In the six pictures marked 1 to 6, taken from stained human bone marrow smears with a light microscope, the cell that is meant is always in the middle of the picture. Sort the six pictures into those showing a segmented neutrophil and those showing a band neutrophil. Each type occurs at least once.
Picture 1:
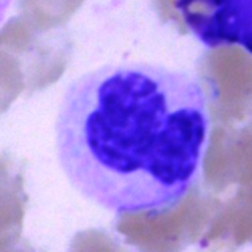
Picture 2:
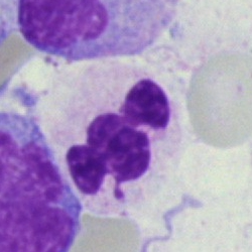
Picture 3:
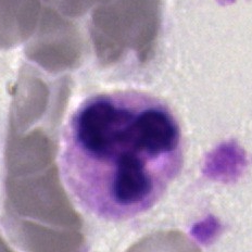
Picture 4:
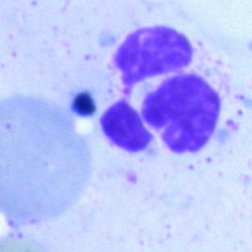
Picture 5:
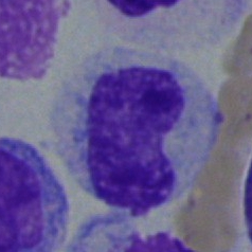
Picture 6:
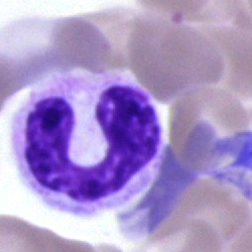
1: segmented neutrophil
2: segmented neutrophil
3: segmented neutrophil
4: segmented neutrophil
5: band neutrophil
6: band neutrophil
